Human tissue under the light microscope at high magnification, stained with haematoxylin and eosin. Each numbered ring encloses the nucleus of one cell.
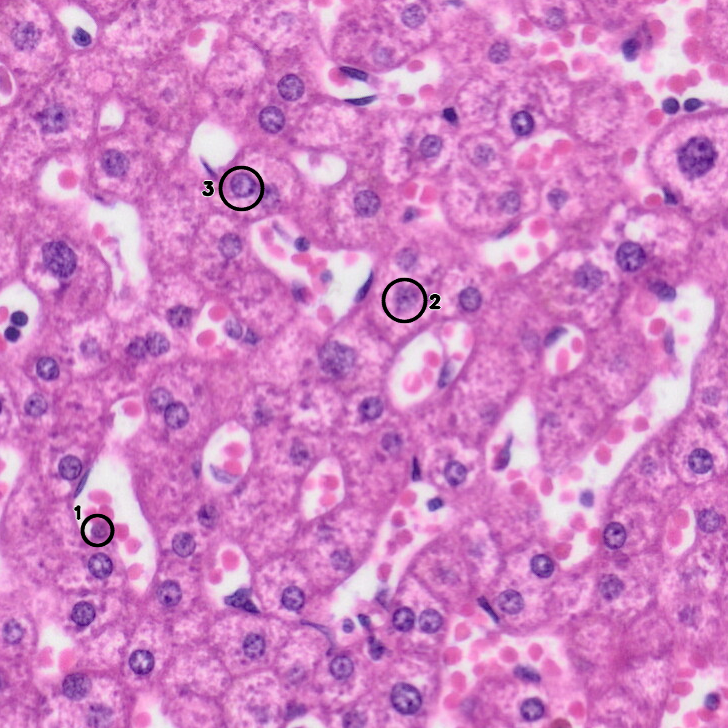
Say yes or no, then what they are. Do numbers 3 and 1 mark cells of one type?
No, cell 1 is a Kupffer cell, and cell 3 is a hepatocyte.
